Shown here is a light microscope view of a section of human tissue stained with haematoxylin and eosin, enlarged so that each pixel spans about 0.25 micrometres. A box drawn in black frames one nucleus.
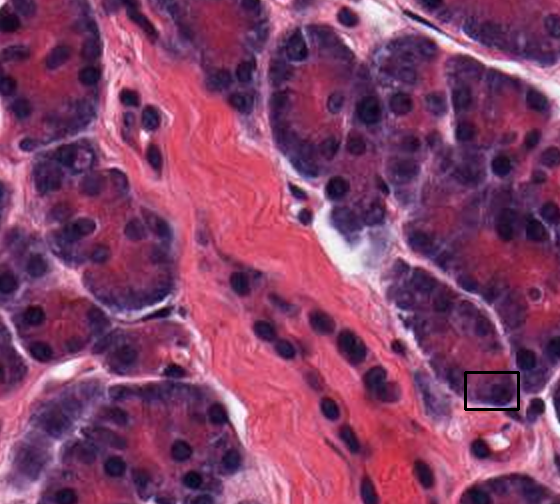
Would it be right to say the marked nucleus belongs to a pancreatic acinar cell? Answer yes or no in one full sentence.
Yes, the nucleus pointed to by the marking is that of a pancreatic acinar cell.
